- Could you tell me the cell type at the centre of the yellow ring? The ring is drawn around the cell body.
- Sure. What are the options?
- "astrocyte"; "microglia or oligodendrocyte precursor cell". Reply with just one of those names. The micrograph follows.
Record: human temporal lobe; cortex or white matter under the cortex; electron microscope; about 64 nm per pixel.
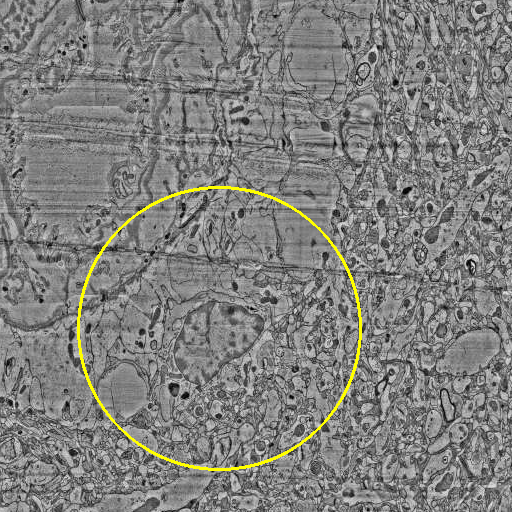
microglia or oligodendrocyte precursor cell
